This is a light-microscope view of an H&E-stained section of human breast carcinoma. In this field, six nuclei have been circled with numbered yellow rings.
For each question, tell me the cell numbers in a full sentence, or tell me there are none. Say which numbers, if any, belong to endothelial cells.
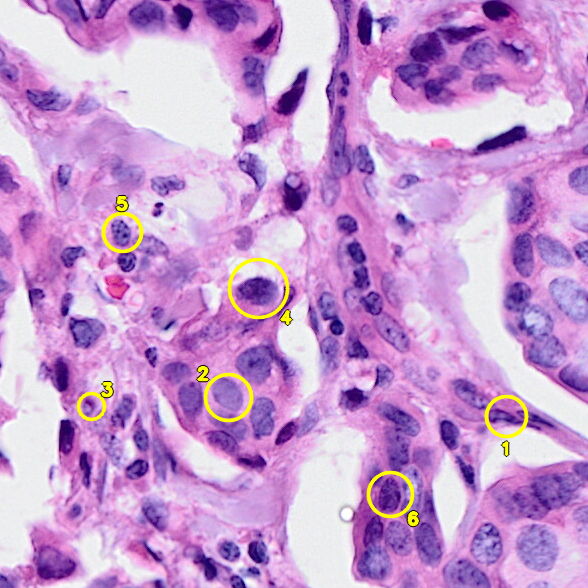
Cell 1 is an endothelial cell and is the only numbered cell of that kind.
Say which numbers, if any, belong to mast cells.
The one cell that is a mast cell is cell 5, and no other.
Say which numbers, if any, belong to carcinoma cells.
On this slide, the cells numbered 2, 4 and 6 are carcinoma cells.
